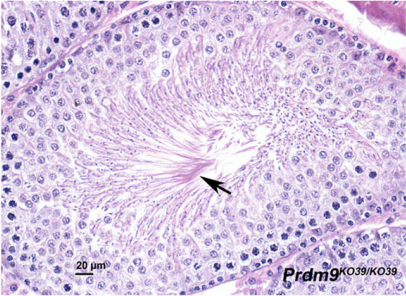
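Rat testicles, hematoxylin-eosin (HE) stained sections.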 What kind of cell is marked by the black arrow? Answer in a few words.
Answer: mature spermatids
